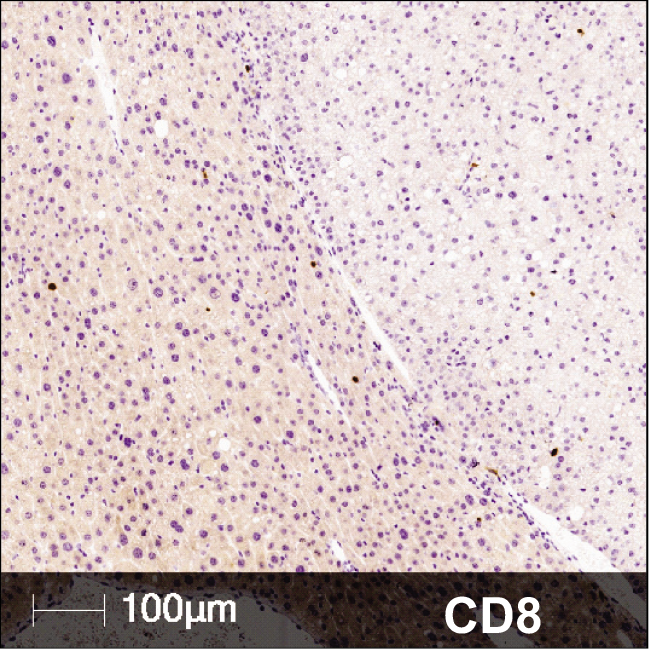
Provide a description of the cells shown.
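The liver cells are large and polygonal, with pale tan cytoplasm and round purple nuclei, forming sheets. Areas with more densely packed nuclei are separated by paler regions, and a few thin pale streaks cross the field. The brown cells are small and round and lie singly and sparsely between the larger cells.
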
